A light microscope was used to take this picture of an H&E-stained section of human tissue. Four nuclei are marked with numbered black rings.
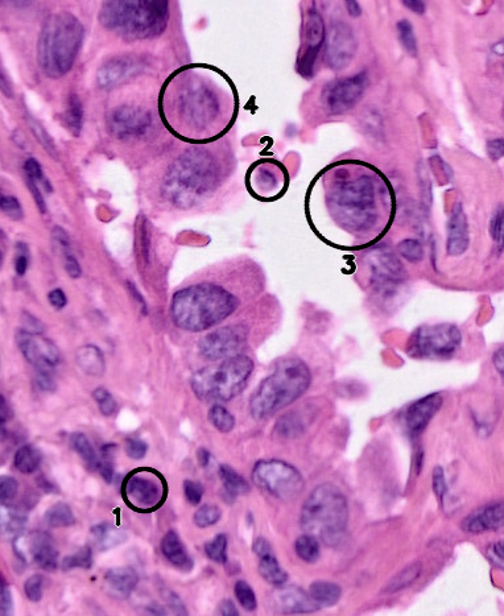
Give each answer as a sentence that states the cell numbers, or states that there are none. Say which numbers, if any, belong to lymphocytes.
Just one numbered cell is a lymphocyte, and that cell is number 2.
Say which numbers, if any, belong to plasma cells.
With the exception of cell 1, no marked cell is a plasma cell.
